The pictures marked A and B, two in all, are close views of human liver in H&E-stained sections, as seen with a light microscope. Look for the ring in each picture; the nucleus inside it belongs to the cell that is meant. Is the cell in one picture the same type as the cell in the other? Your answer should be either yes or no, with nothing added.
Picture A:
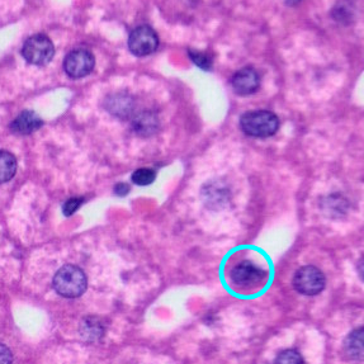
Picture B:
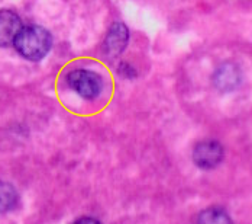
no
